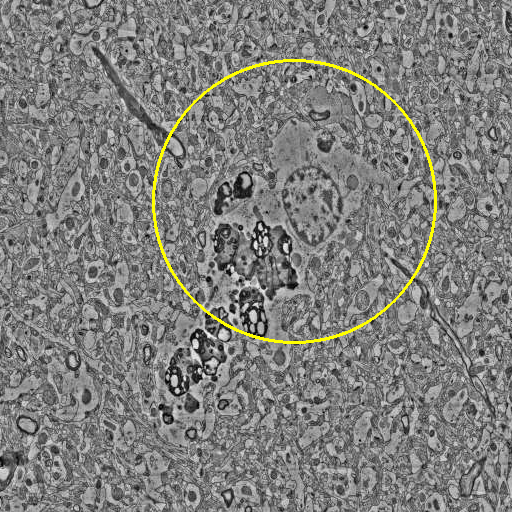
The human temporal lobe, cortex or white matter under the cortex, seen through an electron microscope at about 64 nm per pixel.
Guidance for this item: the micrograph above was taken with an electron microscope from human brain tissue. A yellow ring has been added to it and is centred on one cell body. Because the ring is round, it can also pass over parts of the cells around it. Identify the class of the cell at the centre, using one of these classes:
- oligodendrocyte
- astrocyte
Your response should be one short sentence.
The ring surrounds the body of an astrocyte.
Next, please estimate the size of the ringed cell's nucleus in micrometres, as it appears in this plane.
The nucleus appears roughly 5 by 4 micrometres in this plane.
